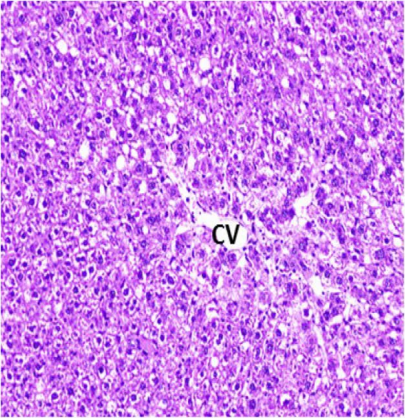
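This liver tissue around a central vein shows hepatocytes that no longer form clear radiating cords. Numerous empty, clear spaces are scattered through the parenchyma between and within the pink-staining cells. The overall arrangement of the hepatic parenchyma looks disordered compared with a normal lobule.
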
